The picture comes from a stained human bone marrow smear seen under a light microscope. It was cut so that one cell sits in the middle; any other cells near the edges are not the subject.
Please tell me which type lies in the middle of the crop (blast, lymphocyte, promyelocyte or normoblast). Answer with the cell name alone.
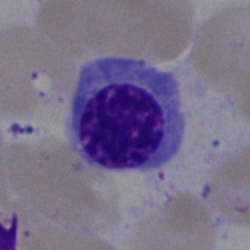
normoblast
